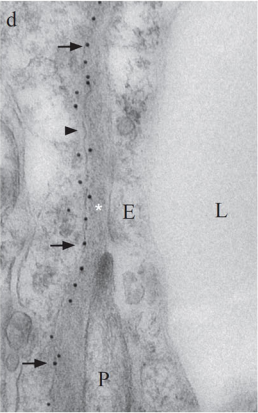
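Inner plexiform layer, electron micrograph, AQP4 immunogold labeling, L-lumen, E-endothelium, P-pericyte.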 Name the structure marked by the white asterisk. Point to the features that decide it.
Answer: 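The asterisk marks a thin, even, grey extracellular band along the vessel wall. The band separates the endothelium from the surrounding neural tissue.
Hence: basement membrane.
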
